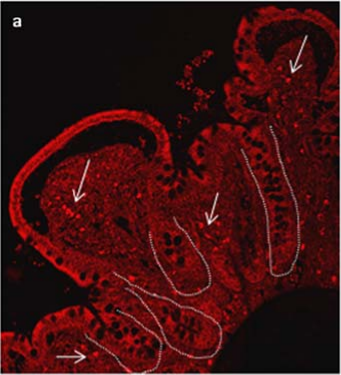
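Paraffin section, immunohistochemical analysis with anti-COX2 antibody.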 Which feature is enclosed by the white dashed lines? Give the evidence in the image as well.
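Crypts. The dashed lines trace narrow tubular glands lined by epithelium. The outlined glands lie at the base of finger-like projections covered by a continuous epithelial layer.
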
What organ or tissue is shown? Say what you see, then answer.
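Finger-like villi covered by a single epithelial layer project from the mucosa. Tubular glands lie between the bases of the villi. On this evidence: small intestine.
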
